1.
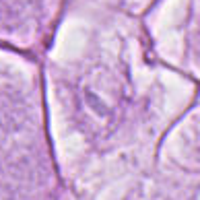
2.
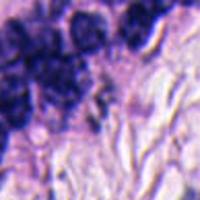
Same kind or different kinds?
Different: the first is a maternal decidual cell, the second a cytotrophoblast.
